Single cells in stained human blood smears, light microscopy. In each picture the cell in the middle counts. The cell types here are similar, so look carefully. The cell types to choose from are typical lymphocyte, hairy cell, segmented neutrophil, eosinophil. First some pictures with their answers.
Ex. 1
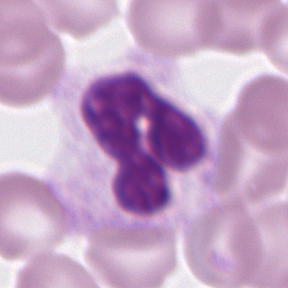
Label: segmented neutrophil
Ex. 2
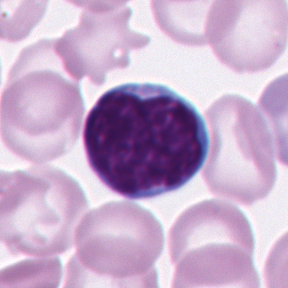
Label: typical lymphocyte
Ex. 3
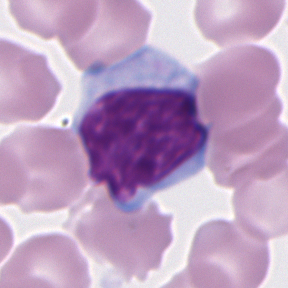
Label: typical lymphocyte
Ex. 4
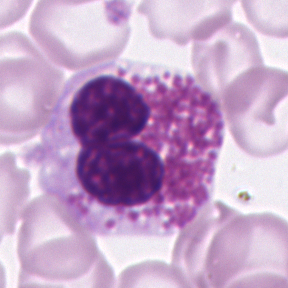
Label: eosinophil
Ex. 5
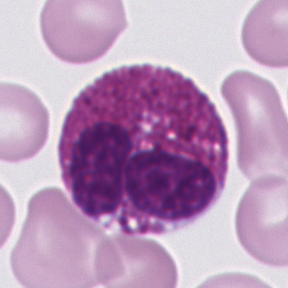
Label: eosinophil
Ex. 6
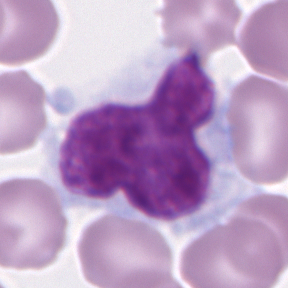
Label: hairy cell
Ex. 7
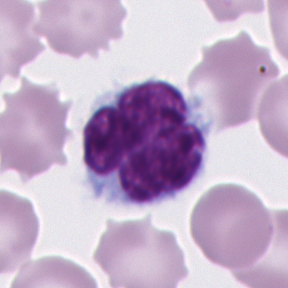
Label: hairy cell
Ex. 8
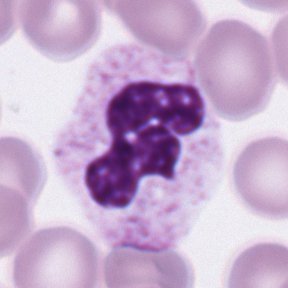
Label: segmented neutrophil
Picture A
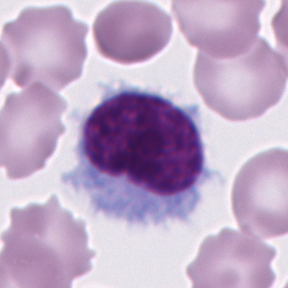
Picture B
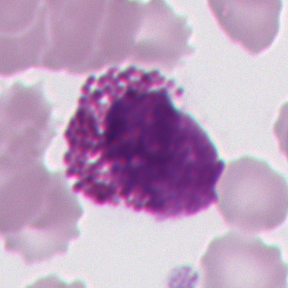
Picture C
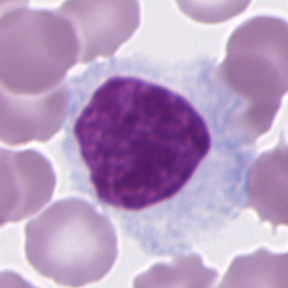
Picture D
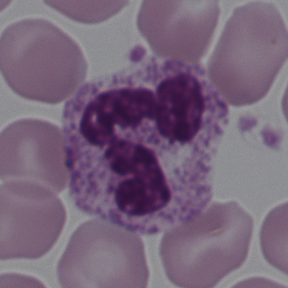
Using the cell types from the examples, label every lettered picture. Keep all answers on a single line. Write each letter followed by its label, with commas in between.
A hairy cell, B eosinophil, C hairy cell, D segmented neutrophil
